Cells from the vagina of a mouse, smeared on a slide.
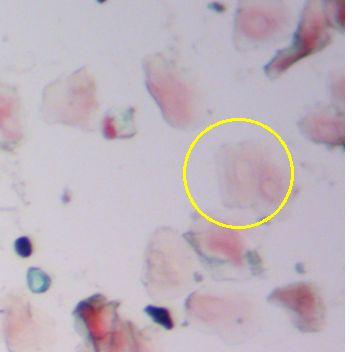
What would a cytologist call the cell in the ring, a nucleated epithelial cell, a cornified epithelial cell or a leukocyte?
A cytologist would call it a cornified epithelial cell.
